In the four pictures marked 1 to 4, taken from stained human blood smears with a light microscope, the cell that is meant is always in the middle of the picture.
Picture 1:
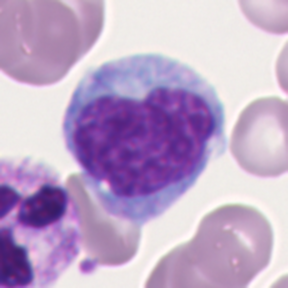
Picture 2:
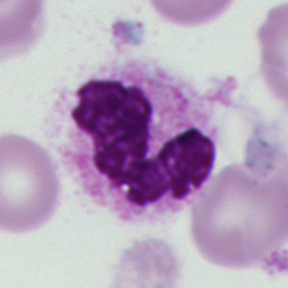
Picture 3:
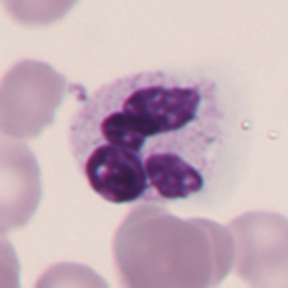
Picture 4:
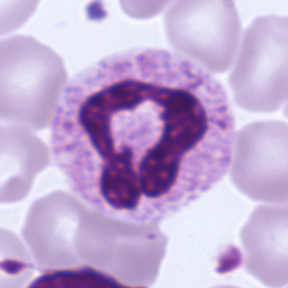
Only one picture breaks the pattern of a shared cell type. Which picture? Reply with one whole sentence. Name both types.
The different one is picture 1; it shows a monocyte, whereas all the others show segmented neutrophils.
